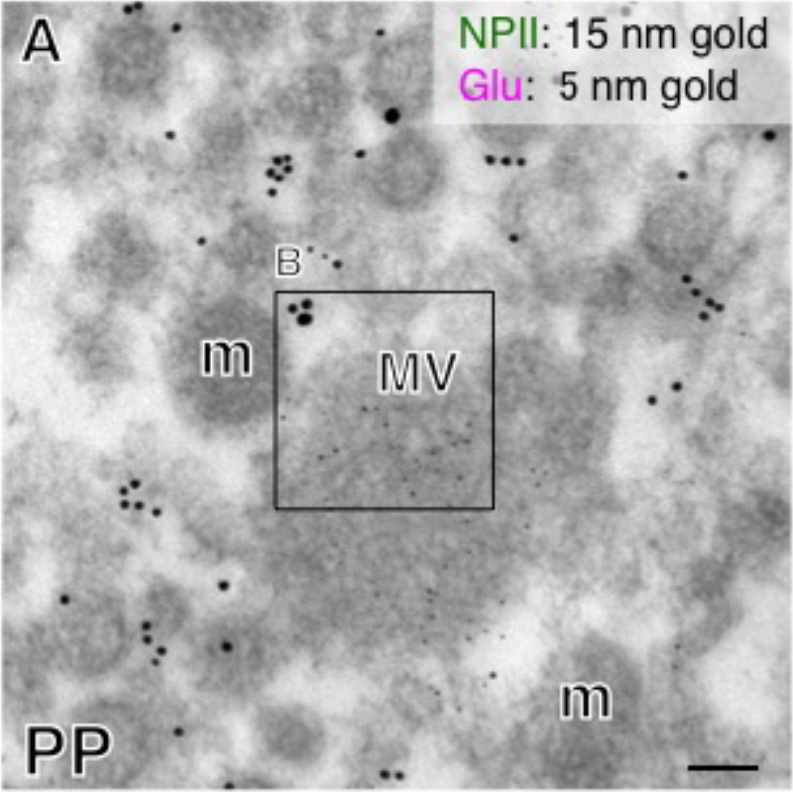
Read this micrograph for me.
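Mitochondria appear as larger, darker grey oval profiles beside them. Near the centre lies a region of clustered small vesicles that looks finely granular and grey, and many very small black gold particles are scattered over it. Larger black gold particles lie in small groups over the round granules elsewhere in the field. Paler, electron-lucent spaces separate the profiles.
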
